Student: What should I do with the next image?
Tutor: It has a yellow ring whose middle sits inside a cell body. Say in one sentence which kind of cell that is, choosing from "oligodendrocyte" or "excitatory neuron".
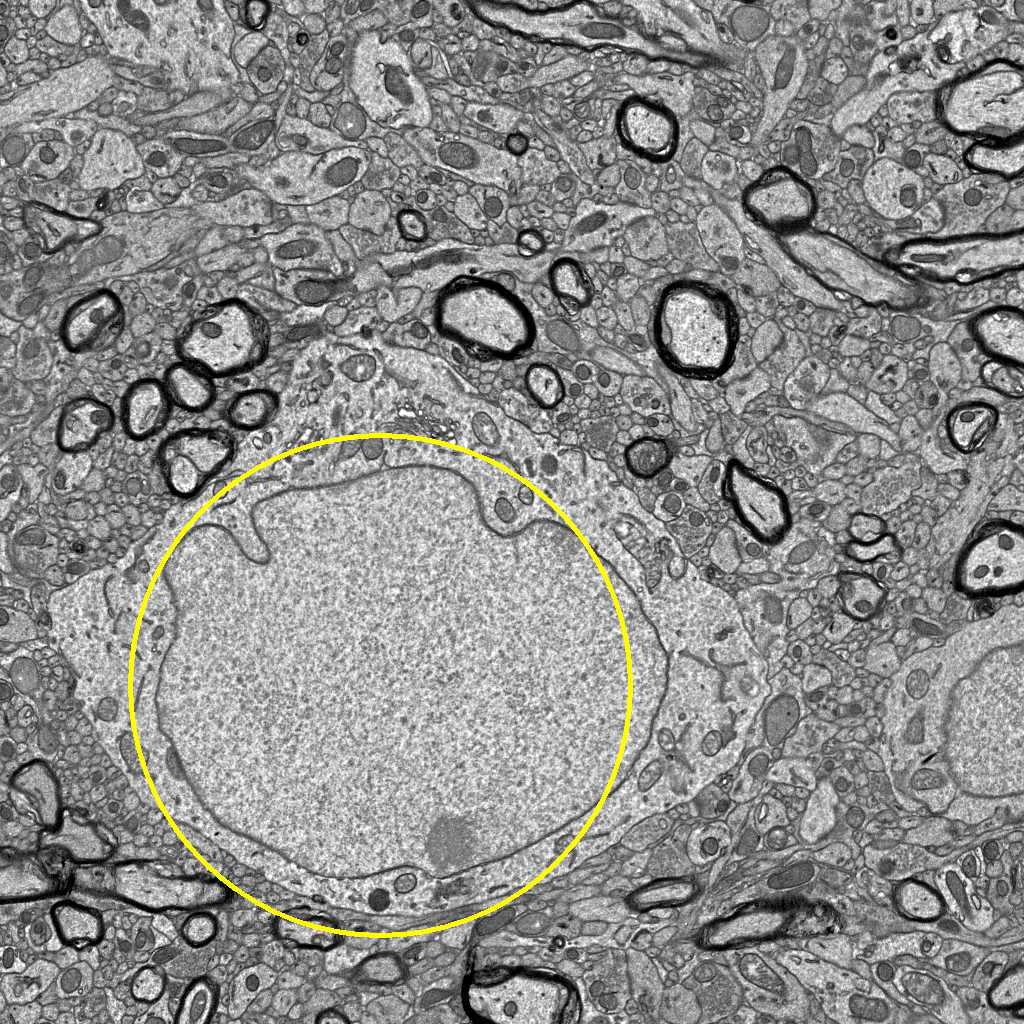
The ring's centre is occupied by an excitatory neuron.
